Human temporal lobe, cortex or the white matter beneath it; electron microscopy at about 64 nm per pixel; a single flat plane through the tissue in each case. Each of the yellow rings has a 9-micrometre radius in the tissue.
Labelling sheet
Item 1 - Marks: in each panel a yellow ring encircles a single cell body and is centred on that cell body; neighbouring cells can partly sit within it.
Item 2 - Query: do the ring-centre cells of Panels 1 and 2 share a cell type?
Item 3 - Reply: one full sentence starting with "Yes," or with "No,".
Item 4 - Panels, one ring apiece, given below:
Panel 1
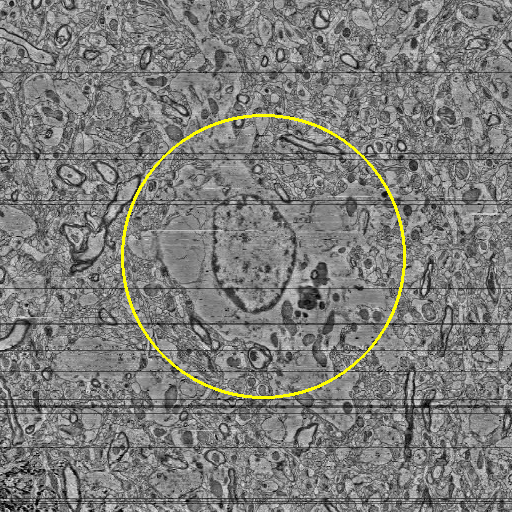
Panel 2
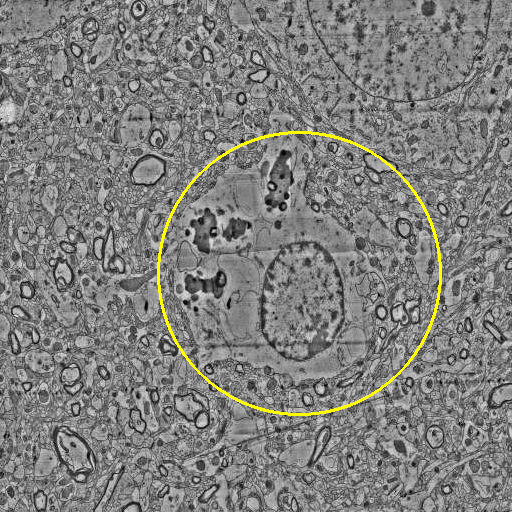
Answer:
Yes, Panel 1 and Panel 2 show one cell type at the centres of their rings.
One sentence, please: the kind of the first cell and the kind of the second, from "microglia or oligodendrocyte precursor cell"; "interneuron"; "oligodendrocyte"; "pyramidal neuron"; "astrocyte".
The cell at the ring centre is an astrocyte in both pictures.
